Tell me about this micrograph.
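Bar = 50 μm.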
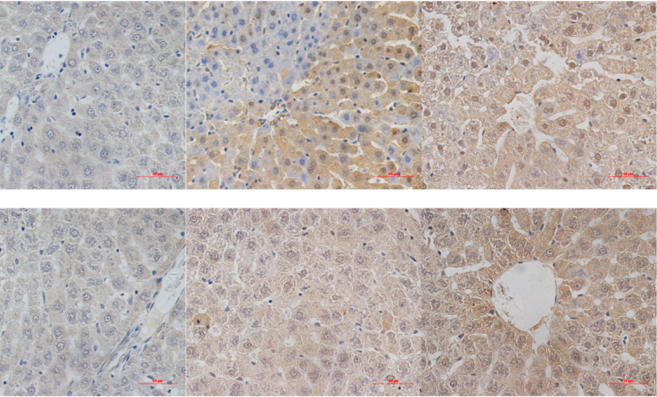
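Six fields of liver show plates of large polygonal hepatocytes with round central nuclei, separated by narrow sinusoids and arranged around central veins. The brown stain is faint in some fields, where the tissue is mostly blue-grey. In others the cytoplasm is stained diffusely light to moderate brown, and the sinusoidal spaces look more open around the veins.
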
